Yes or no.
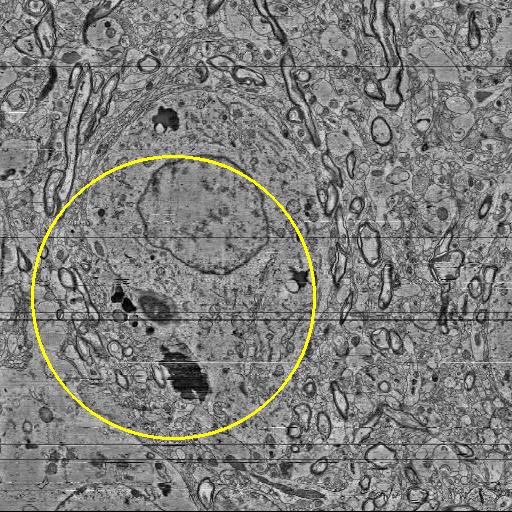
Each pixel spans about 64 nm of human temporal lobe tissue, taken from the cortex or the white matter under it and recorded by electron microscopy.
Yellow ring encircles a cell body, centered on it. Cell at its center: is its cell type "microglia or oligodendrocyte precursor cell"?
yes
